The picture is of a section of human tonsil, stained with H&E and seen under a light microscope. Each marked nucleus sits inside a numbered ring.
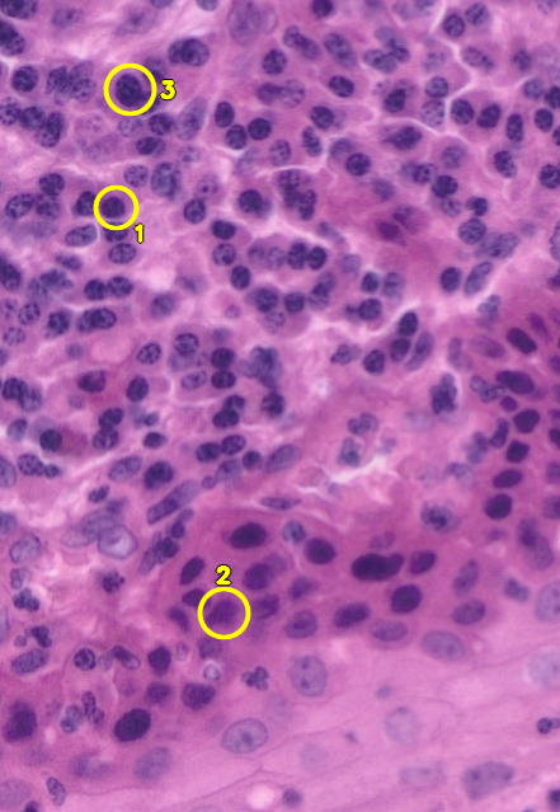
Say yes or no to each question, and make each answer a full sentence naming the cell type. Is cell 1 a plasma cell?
Yes, the nucleus numbered 1 belongs to a plasma cell.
